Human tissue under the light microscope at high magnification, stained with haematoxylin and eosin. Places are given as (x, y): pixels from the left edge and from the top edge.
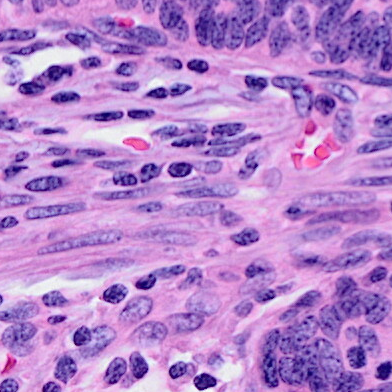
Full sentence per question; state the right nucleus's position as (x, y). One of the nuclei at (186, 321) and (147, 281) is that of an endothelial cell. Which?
Of the two nuclei, the nucleus belonging to an endothelial cell is located at (186, 321).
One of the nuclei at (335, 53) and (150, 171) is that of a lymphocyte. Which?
Of the two, the nucleus lying at (150, 171) is the one belonging to a lymphocyte.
